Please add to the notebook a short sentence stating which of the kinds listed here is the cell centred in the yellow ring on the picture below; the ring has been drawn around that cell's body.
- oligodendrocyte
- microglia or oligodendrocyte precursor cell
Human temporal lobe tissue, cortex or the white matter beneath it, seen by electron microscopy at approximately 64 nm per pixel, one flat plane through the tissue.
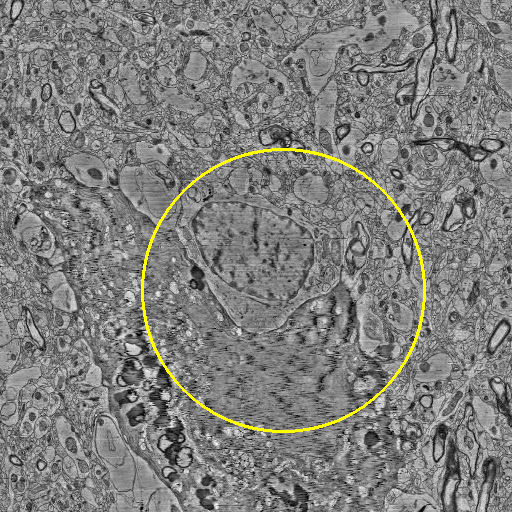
The cell centred in the yellow ring is a microglial cell or oligodendrocyte precursor cell.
